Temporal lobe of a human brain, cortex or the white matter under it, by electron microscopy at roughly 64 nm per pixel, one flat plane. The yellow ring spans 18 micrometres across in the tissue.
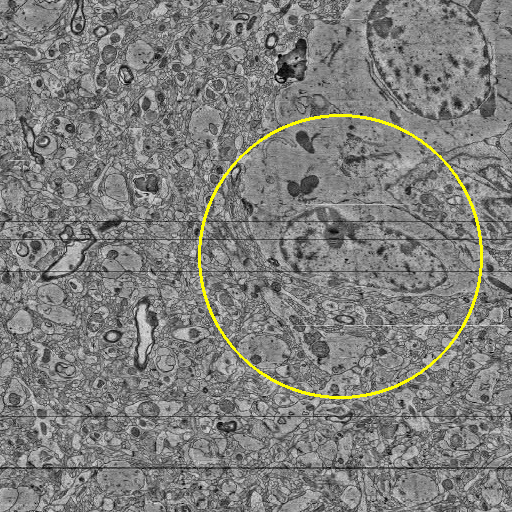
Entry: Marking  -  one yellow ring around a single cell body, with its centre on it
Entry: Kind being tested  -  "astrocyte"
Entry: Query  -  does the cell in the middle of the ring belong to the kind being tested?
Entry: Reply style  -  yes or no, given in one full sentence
Yes, the centred cell within the ring in the picture does belong to the tested kind.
